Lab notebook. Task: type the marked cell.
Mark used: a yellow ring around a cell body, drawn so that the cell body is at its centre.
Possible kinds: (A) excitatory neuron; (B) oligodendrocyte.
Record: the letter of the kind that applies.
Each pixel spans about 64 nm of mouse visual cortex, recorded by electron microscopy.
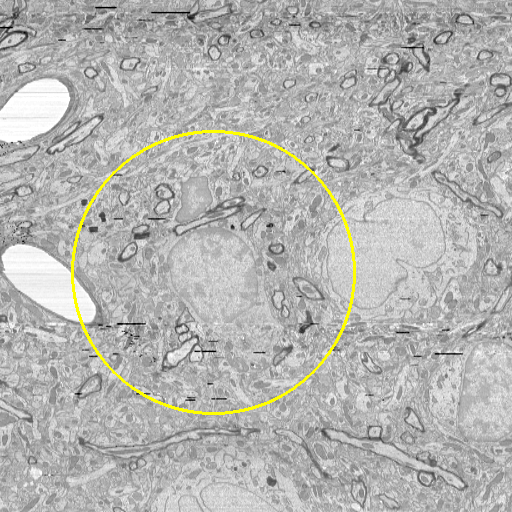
B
